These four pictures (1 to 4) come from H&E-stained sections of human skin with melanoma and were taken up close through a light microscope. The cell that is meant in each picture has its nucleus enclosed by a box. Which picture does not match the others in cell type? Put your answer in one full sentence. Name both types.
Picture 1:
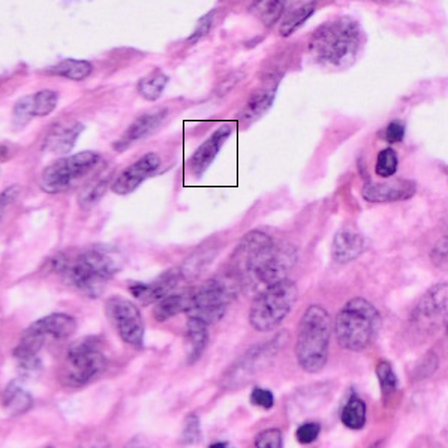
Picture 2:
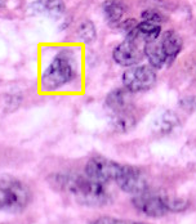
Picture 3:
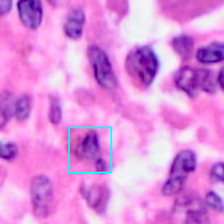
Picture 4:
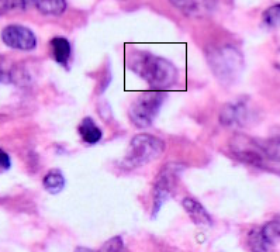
All pictures except 3 show melanoma cells; picture 3 shows a “macrophage or monocyte”.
